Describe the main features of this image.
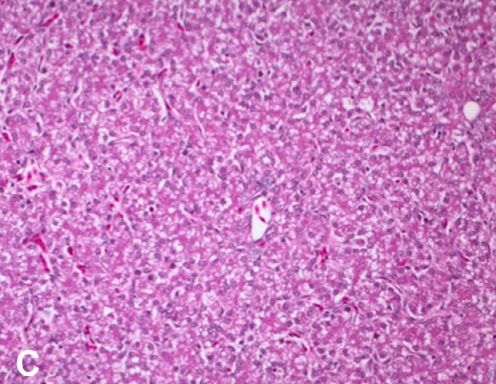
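This is liver in which the liver cells show vacuolar degeneration. Across most of the field the cell cytoplasm is pale and filled with small clear vacuoles, giving a foamy, bubbly look instead of solid pink. Nuclei remain small, round and central, and the sinusoids between the cords are narrow and hard to make out.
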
